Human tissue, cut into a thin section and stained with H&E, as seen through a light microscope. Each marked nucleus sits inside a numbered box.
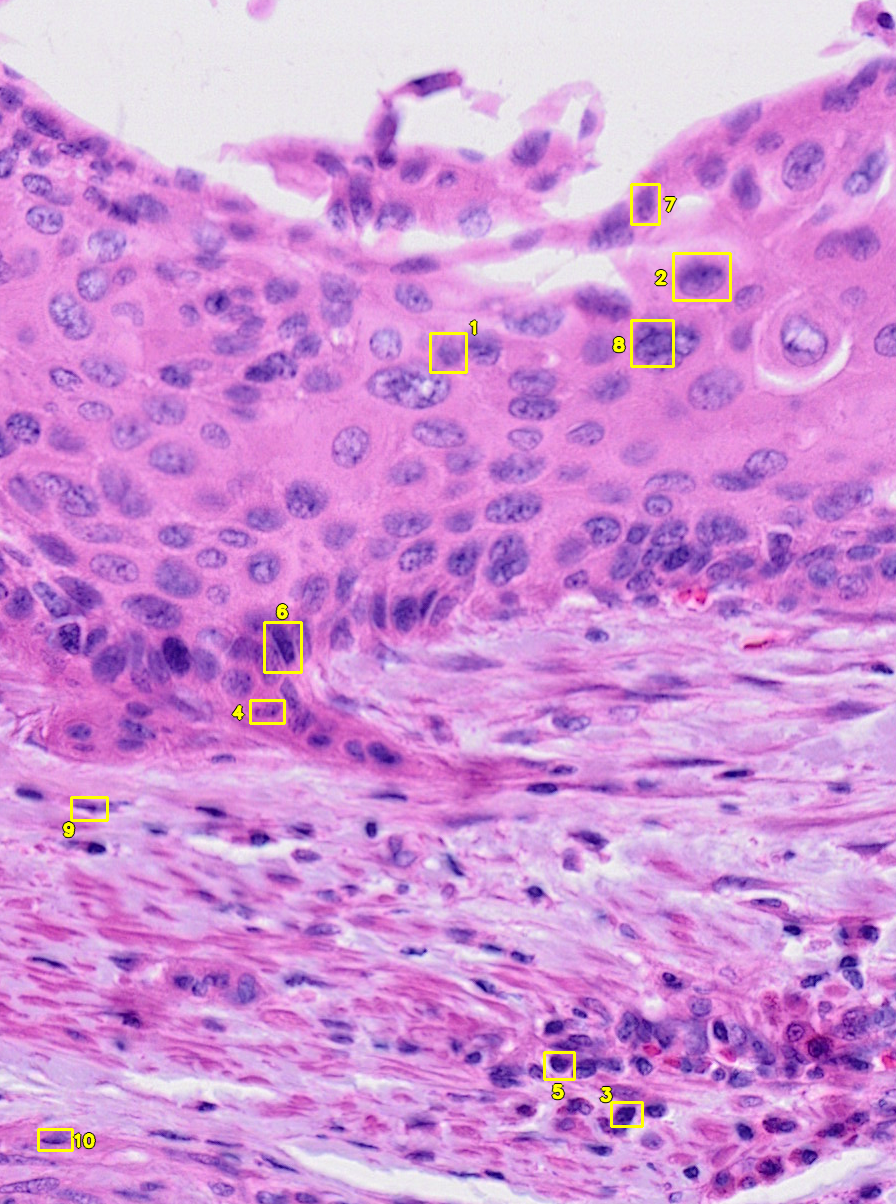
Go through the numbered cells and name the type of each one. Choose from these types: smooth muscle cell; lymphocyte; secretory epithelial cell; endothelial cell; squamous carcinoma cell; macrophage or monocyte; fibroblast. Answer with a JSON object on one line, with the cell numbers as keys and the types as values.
{"1": "squamous carcinoma cell", "2": "squamous carcinoma cell", "3": "lymphocyte", "4": "squamous carcinoma cell", "5": "lymphocyte", "6": "squamous carcinoma cell", "7": "squamous carcinoma cell", "8": "squamous carcinoma cell", "9": "fibroblast", "10": "smooth muscle cell"}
